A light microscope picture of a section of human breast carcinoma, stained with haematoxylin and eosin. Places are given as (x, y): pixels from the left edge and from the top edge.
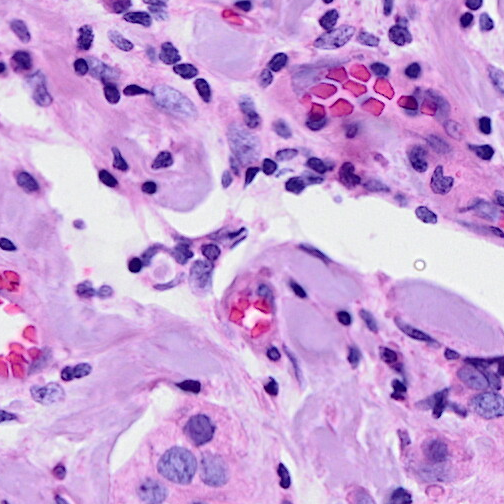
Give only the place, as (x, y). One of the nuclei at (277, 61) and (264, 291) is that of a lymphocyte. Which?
(277, 61)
